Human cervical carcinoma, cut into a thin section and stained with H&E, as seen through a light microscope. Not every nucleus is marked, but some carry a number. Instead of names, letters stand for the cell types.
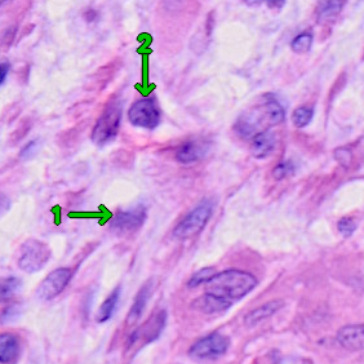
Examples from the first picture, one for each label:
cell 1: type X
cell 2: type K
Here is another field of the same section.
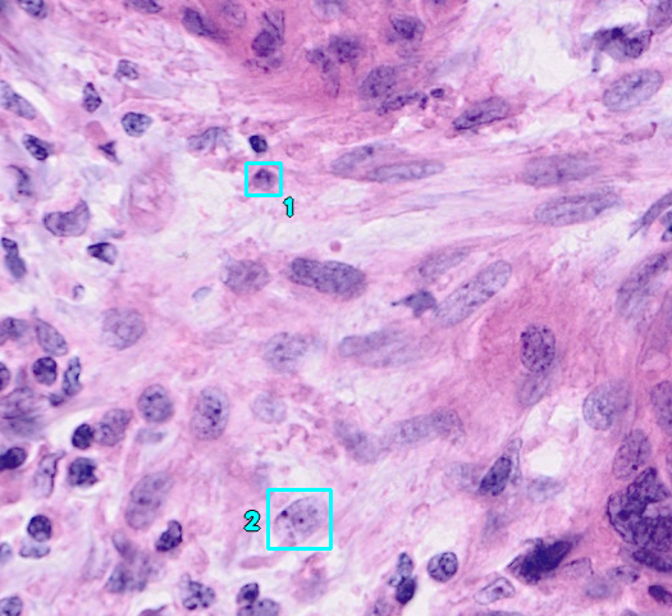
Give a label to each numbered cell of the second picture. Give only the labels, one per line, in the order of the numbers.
type K
type X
